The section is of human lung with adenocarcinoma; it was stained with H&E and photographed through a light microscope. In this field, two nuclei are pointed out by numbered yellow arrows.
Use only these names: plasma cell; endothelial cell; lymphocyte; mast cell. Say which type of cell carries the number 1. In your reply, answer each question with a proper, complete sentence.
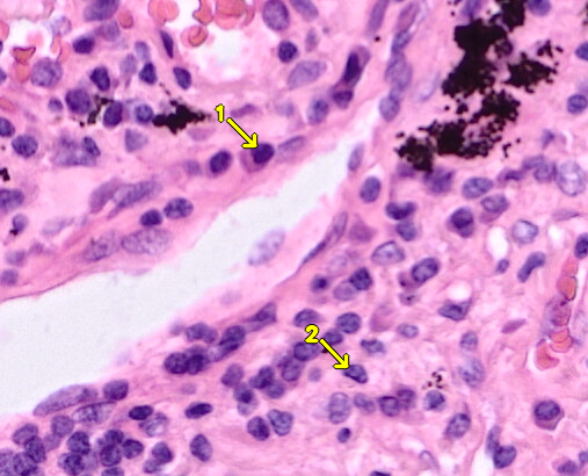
Recognised here as a plasma cell is the cell numbered 1.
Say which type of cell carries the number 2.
The cell numbered 2 has been identified as a lymphocyte.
